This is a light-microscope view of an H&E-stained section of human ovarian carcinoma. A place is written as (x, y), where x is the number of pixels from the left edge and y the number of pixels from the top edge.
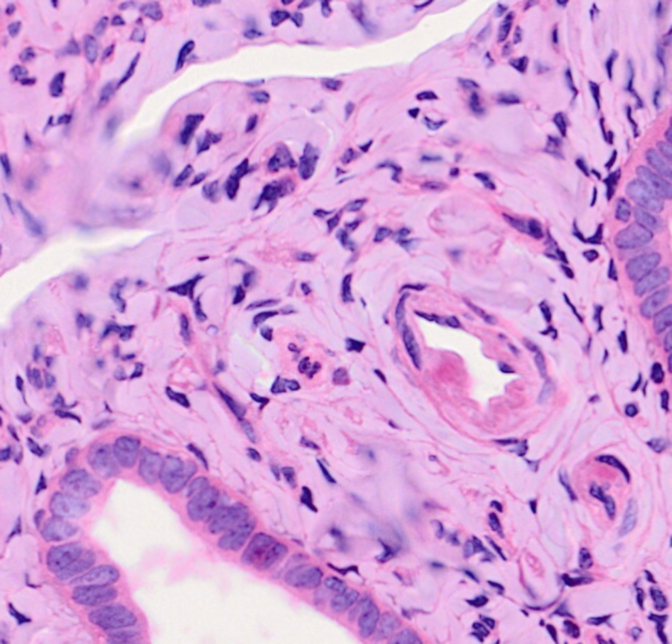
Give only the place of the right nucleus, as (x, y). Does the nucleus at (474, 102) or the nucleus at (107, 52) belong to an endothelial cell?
(474, 102)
